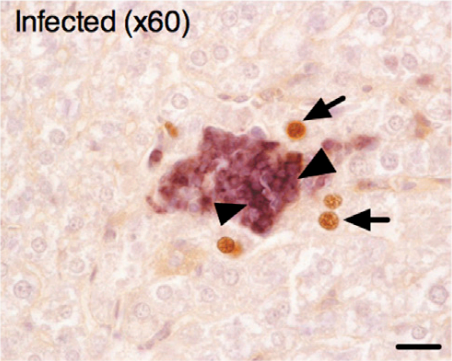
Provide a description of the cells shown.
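The purple cells are small and packed tightly into an irregular cluster in the middle of the field. Around the cluster lie several small round nuclei stained solid brown. The background is made of large polygonal cells with pale cytoplasm and round, lightly stained blue nuclei, separated by narrow spaces.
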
